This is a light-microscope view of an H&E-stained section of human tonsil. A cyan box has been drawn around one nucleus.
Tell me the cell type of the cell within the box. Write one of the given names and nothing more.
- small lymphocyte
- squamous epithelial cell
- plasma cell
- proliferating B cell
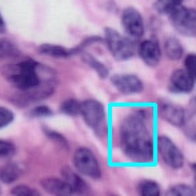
proliferating B cell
